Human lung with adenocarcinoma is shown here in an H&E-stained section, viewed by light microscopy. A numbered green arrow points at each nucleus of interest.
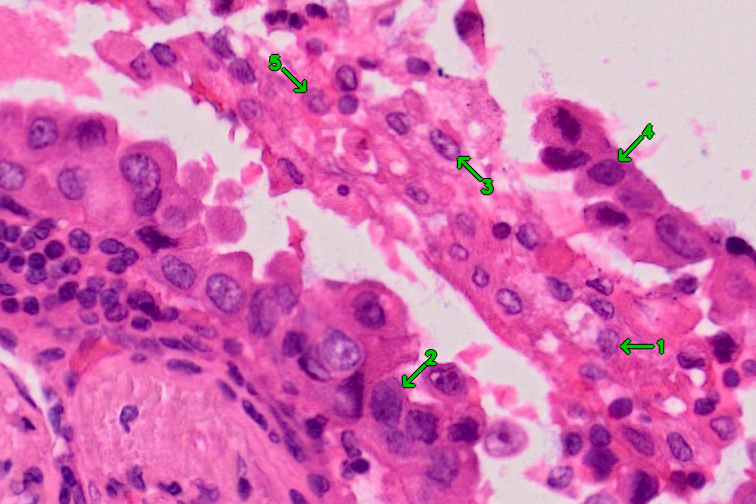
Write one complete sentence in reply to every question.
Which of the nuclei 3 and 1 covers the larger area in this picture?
Of the two, number 3 is bigger and takes up about 1.5 times the area of number 1.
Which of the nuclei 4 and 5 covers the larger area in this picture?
Nucleus 4 covers more area, about 2 times as much as nucleus 5.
